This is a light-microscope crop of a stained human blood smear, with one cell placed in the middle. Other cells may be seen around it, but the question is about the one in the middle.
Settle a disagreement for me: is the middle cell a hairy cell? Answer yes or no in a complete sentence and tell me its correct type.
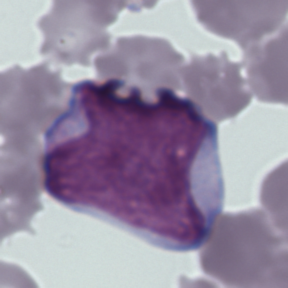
No, what is seen at the centre is a myeloblast instead of a hairy cell.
